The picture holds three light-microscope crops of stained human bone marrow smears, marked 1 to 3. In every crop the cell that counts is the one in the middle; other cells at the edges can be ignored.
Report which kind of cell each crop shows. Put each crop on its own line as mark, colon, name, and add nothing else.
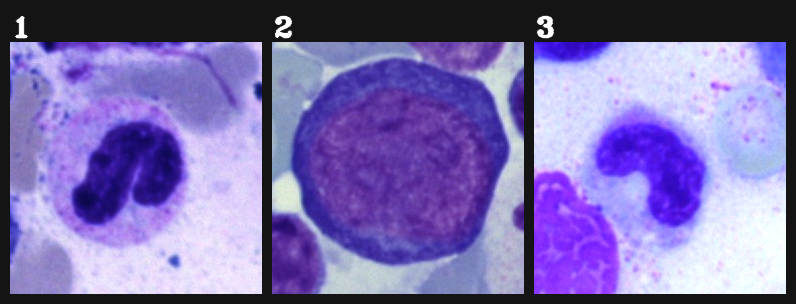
1: band neutrophil
2: proerythroblast
3: band neutrophil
